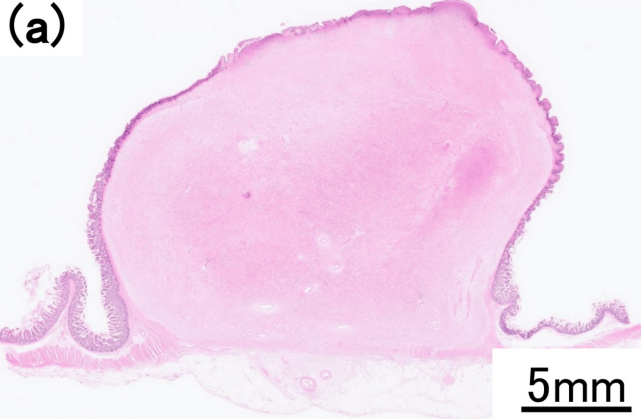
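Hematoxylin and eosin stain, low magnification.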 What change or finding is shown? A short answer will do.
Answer: A well-circumscribed submucosal tumor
